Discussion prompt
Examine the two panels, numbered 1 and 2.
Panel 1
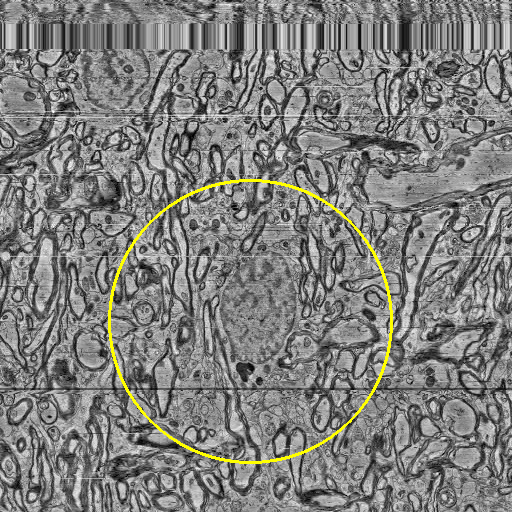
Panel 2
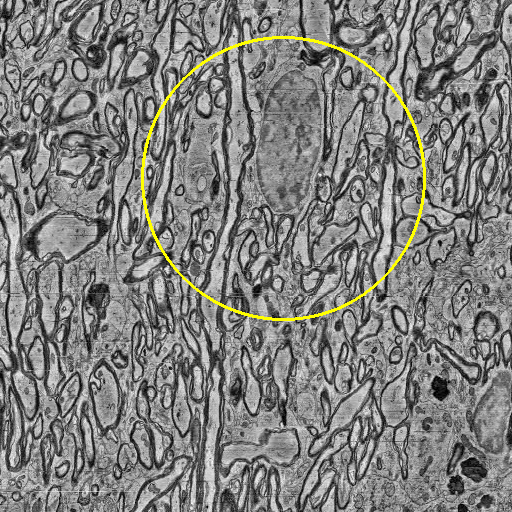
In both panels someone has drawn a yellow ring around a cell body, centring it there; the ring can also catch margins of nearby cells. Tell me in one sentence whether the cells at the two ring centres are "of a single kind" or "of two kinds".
Taken together, the two cells centred in the rings of Panels 1 and 2 are of a single kind.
